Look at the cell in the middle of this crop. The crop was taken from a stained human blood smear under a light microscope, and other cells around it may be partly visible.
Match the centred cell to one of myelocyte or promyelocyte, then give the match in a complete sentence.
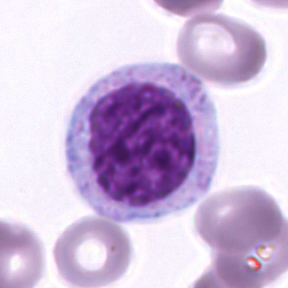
The cell under consideration, at the middle of the crop, is a myelocyte.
